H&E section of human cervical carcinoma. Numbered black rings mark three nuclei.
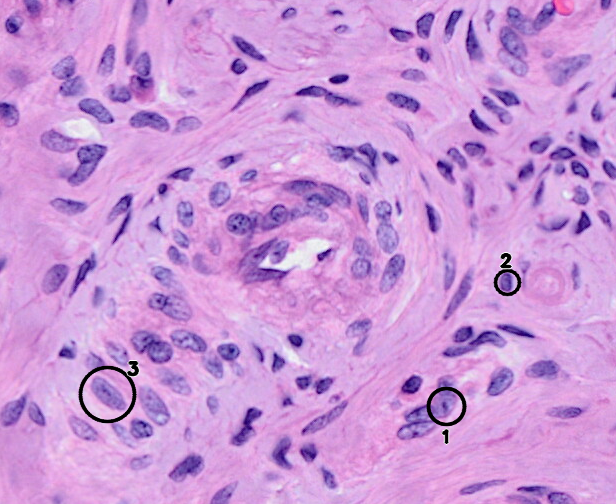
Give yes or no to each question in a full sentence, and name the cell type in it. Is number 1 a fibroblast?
No, cell 1 is not a fibroblast: it is an endothelial cell.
